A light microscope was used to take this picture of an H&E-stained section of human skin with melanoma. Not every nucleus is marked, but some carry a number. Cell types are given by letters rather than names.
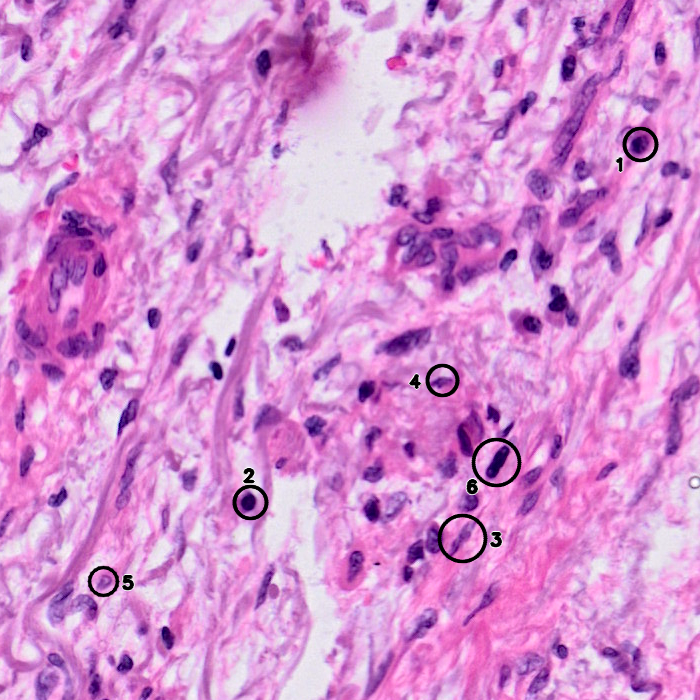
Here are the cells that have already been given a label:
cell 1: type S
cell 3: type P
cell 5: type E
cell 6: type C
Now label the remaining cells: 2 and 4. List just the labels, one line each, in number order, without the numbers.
type S
type P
